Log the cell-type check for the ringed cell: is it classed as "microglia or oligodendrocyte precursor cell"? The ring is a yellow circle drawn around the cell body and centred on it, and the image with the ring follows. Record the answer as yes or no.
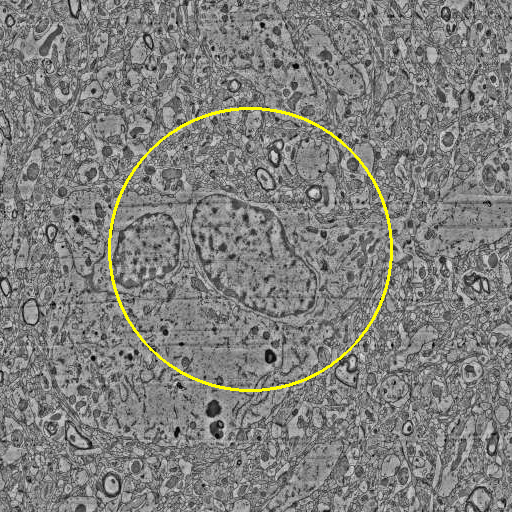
Yes, it is classed that way.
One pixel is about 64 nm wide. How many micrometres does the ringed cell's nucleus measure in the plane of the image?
About 10 by 6 micrometres in this plane; clearly longer than it is wide.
